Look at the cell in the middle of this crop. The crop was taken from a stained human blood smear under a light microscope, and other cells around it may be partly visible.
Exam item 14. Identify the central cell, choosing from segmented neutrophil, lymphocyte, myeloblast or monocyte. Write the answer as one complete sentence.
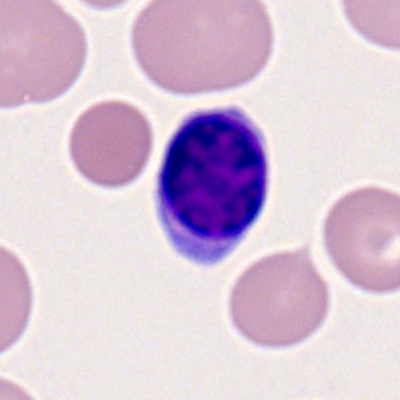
Whatever else lies nearby, the middle cell is a lymphocyte.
